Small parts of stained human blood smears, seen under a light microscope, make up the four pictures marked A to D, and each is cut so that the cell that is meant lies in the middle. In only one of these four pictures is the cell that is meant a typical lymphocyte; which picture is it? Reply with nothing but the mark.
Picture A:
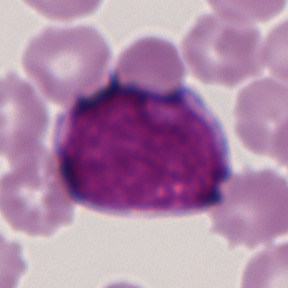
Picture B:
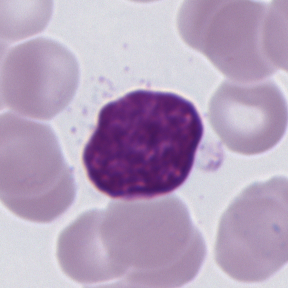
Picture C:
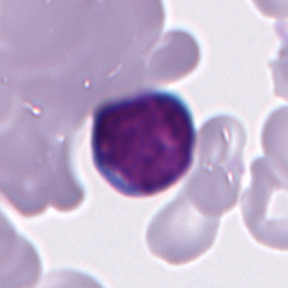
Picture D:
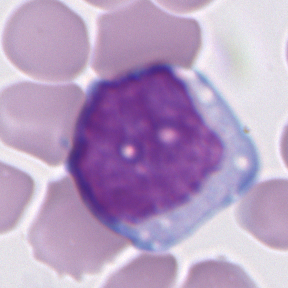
C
